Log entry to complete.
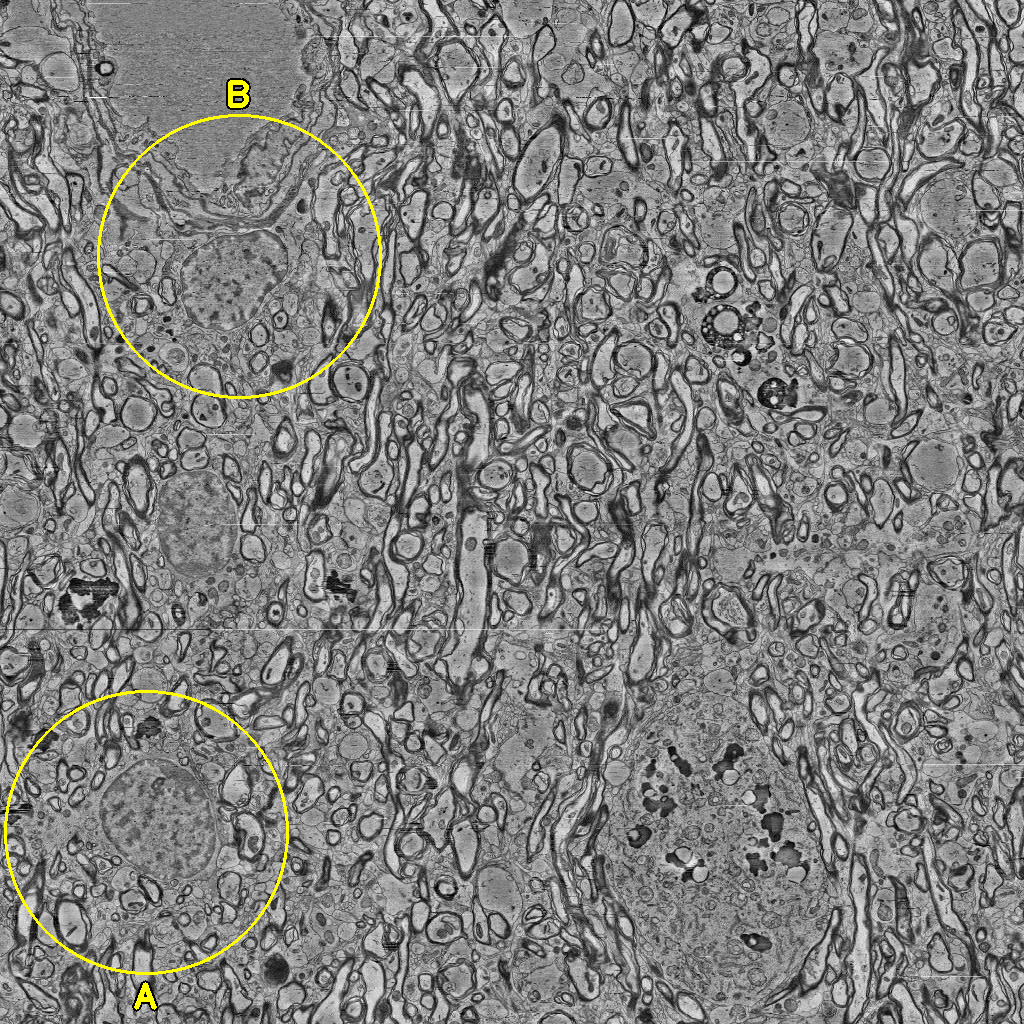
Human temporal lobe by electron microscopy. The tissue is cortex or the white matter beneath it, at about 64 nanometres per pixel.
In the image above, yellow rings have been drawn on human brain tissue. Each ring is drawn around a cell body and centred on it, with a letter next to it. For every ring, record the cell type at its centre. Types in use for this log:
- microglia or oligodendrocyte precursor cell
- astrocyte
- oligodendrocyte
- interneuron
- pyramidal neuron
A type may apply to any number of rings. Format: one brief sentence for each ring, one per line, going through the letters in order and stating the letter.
In ring A, the centred cell is an oligodendrocyte.
In ring B, the centred cell is a microglial cell or oligodendrocyte precursor cell.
